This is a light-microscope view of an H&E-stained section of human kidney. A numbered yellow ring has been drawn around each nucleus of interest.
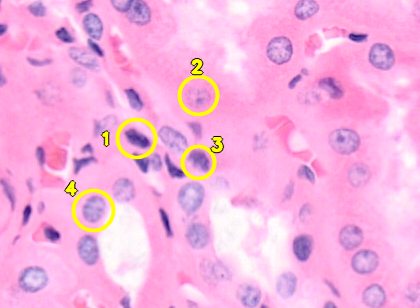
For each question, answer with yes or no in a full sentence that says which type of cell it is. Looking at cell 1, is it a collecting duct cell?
Yes, the cell labelled with number 1 is a collecting duct cell.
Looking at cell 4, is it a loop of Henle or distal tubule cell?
Yes, the cell with number 4 is a loop of Henle or distal tubule cell.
